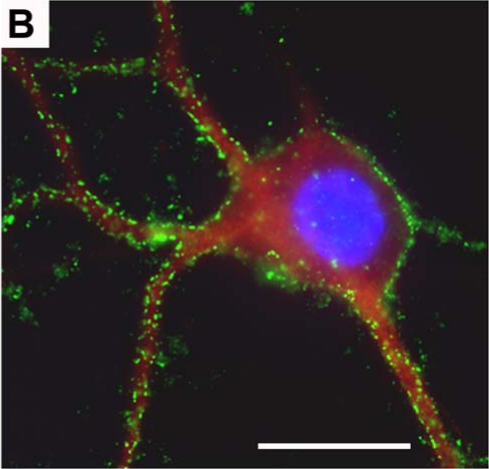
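This is a single cultured neuron seen at high magnification. A rounded cell body holds a large oval blue nucleus, and from it several long, tapering, branching processes, the dendrites, spread out; the cytoplasm of body and processes is filled with red. Fine green dots are scattered along the outer edges of the cell body and of the processes, outlining the surface membrane of the neuron rather than filling its interior. A few green dots also lie in the dark background between the processes.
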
